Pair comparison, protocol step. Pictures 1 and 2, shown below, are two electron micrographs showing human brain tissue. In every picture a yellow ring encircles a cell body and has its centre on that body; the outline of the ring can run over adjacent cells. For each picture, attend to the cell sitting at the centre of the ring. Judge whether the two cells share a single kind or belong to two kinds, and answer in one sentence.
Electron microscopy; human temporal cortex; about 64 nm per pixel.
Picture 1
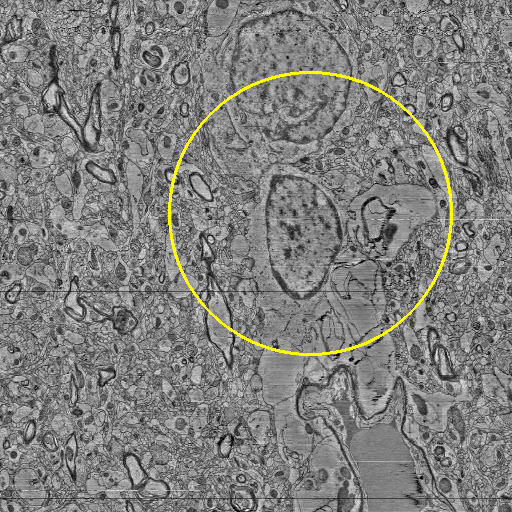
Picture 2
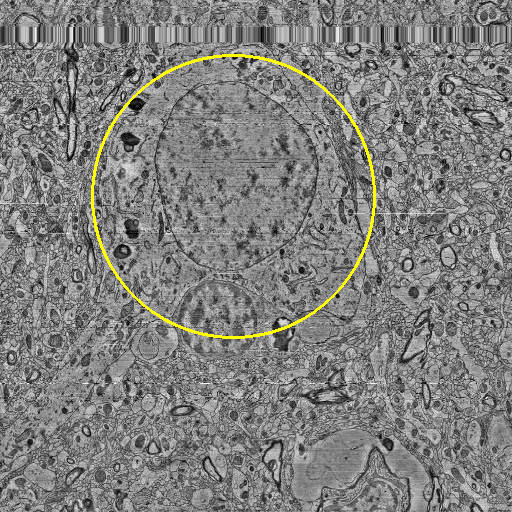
The two cells at the ring centres in Picture 1 and Picture 2 belong to two kinds.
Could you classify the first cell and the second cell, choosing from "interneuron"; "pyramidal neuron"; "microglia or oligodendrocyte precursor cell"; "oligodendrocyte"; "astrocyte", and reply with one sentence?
The second cell is a pyramidal neuron, while the first is a microglial cell or oligodendrocyte precursor cell.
